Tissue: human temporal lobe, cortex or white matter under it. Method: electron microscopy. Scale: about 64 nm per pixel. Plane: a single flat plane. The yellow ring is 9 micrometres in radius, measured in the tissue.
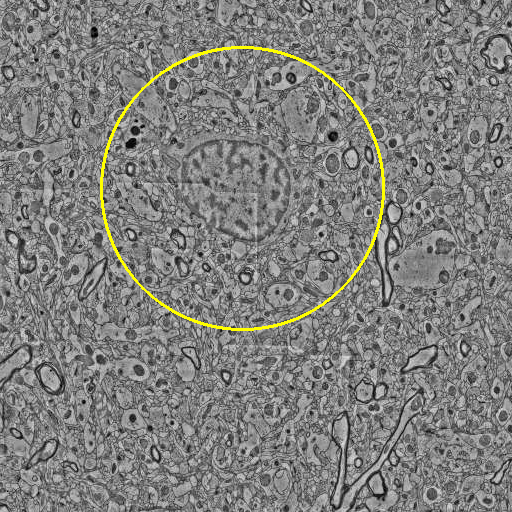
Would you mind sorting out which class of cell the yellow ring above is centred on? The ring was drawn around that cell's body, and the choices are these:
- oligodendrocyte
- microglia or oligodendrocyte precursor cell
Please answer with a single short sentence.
This is the cell body of an oligodendrocyte.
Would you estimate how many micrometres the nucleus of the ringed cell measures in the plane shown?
In this plane, roughly 7 by 6 micrometres.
